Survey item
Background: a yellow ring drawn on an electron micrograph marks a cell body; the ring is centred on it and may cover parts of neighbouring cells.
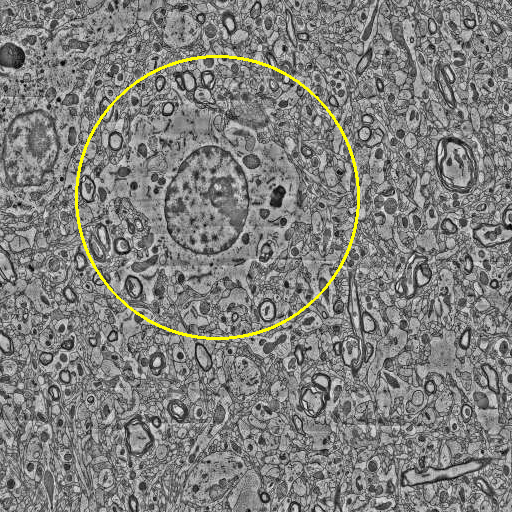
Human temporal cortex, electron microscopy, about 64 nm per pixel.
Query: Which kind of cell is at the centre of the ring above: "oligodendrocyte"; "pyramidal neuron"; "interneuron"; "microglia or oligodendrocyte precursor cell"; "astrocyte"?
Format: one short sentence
The cell in the middle of the ring is an astrocyte.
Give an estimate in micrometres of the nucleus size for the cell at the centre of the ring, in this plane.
Roughly 7 by 5 micrometres is the size of the nucleus in this plane.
